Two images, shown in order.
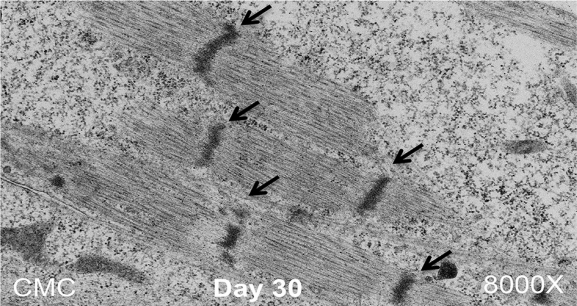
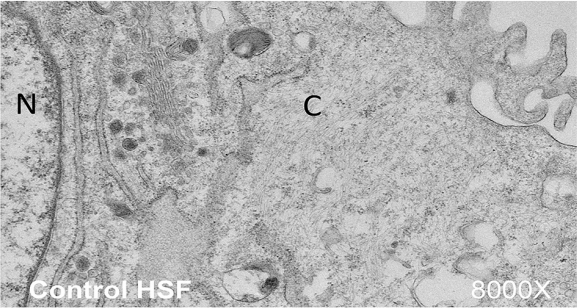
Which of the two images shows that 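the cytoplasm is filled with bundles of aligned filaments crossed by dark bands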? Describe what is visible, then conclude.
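First image: broad parallel filament bundles with regularly repeating dark transverse bands. Second image: cytoplasm with vesicles and organelles but no banded filament bundles.
Answer: the first image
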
